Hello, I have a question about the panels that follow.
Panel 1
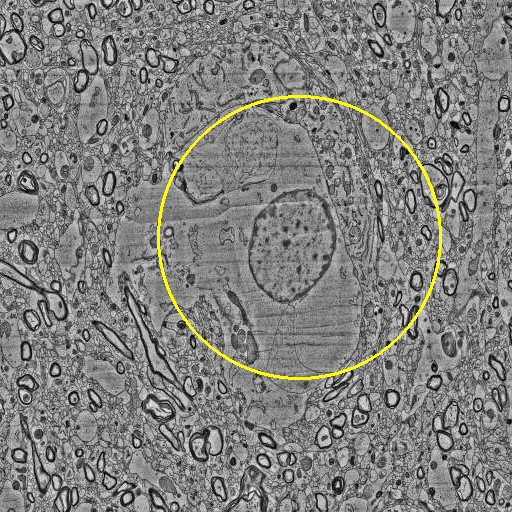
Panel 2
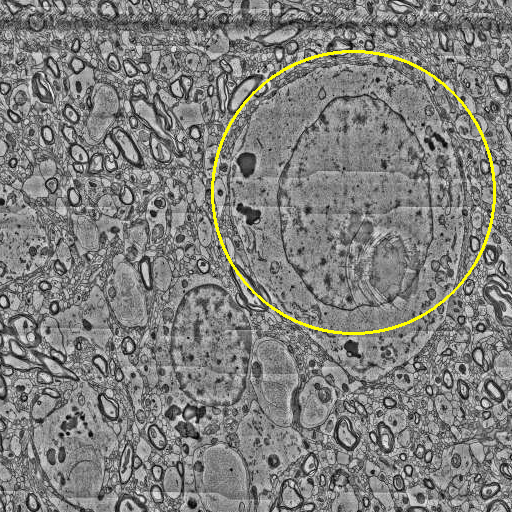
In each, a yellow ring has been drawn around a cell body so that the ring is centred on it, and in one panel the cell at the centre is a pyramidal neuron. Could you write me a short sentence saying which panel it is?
It is Panel 2.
